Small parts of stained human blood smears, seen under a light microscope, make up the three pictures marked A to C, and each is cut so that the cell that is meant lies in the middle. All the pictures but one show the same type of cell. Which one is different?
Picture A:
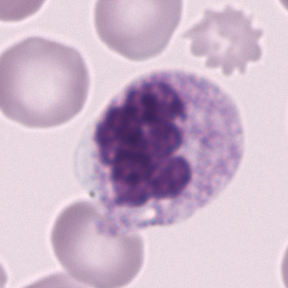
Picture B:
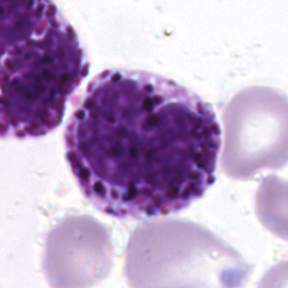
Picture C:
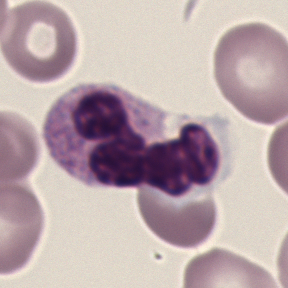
B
